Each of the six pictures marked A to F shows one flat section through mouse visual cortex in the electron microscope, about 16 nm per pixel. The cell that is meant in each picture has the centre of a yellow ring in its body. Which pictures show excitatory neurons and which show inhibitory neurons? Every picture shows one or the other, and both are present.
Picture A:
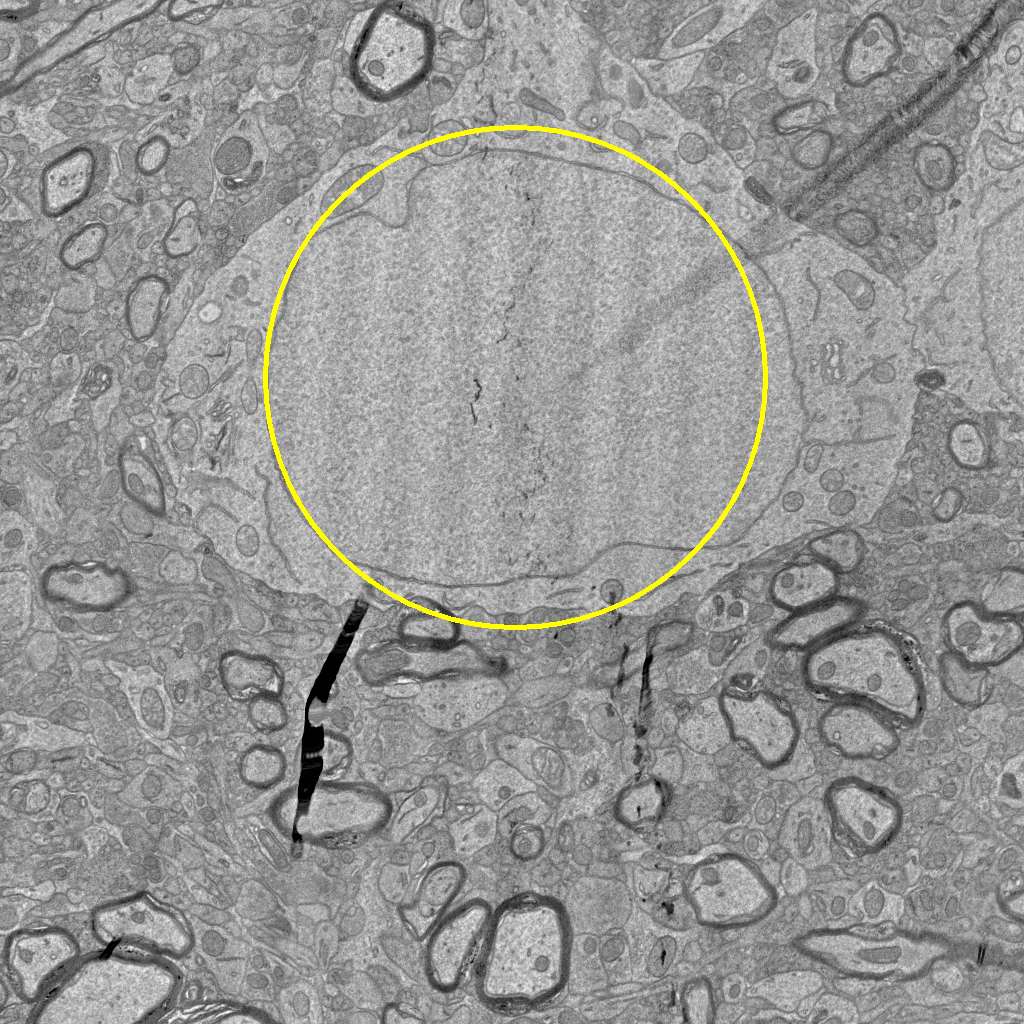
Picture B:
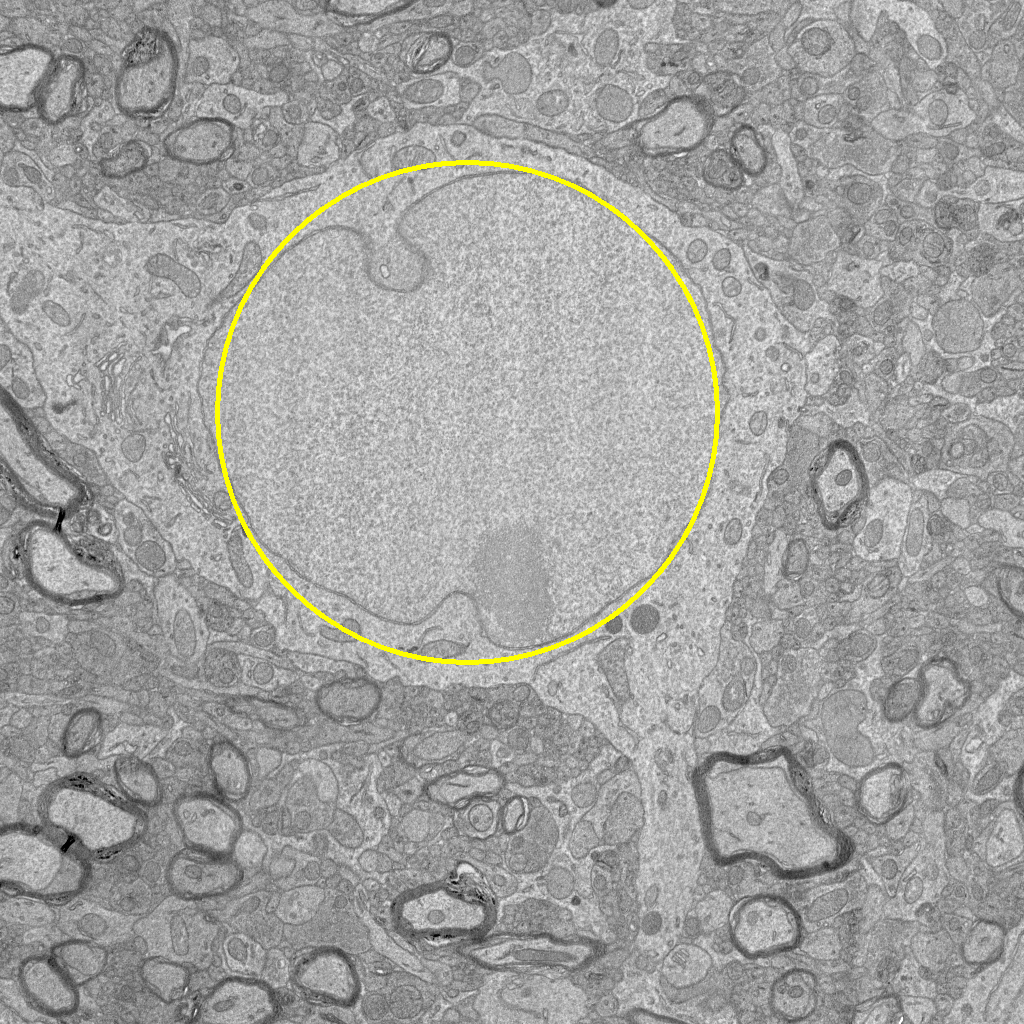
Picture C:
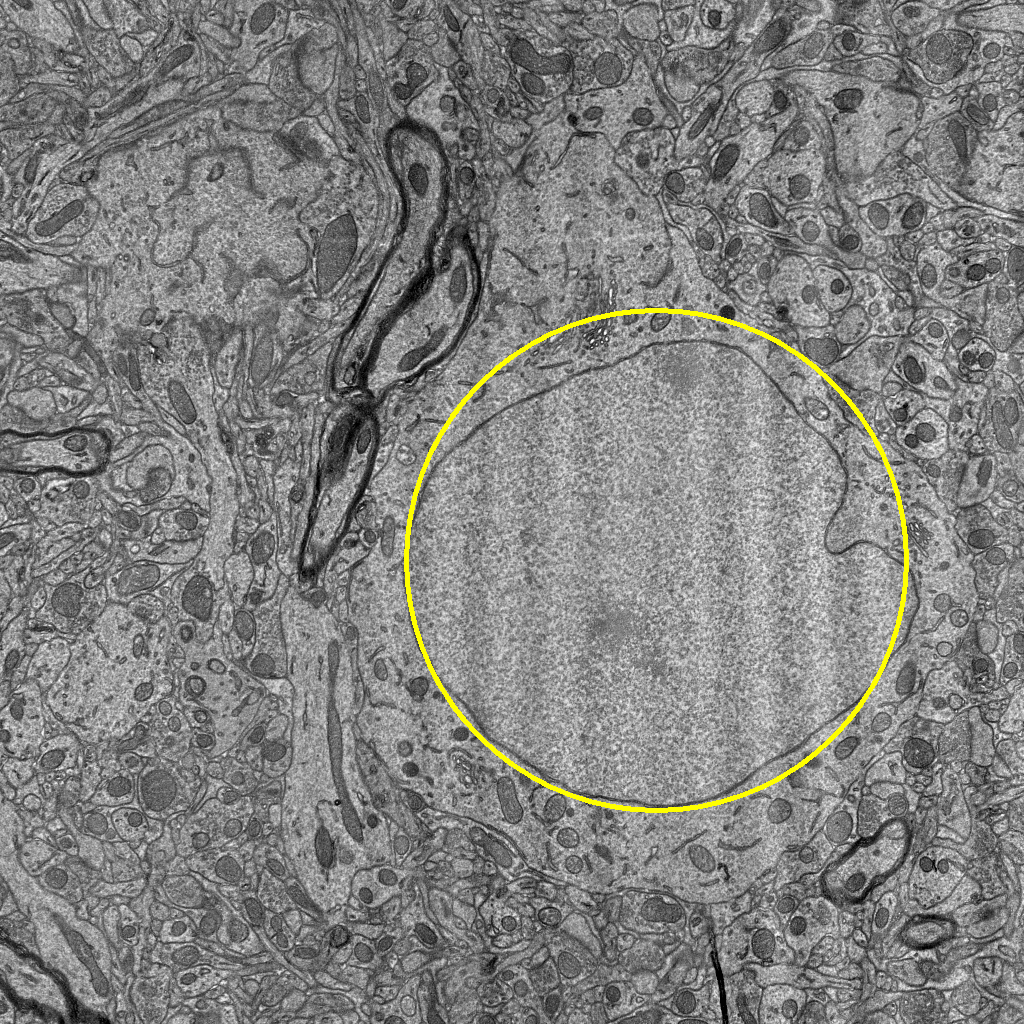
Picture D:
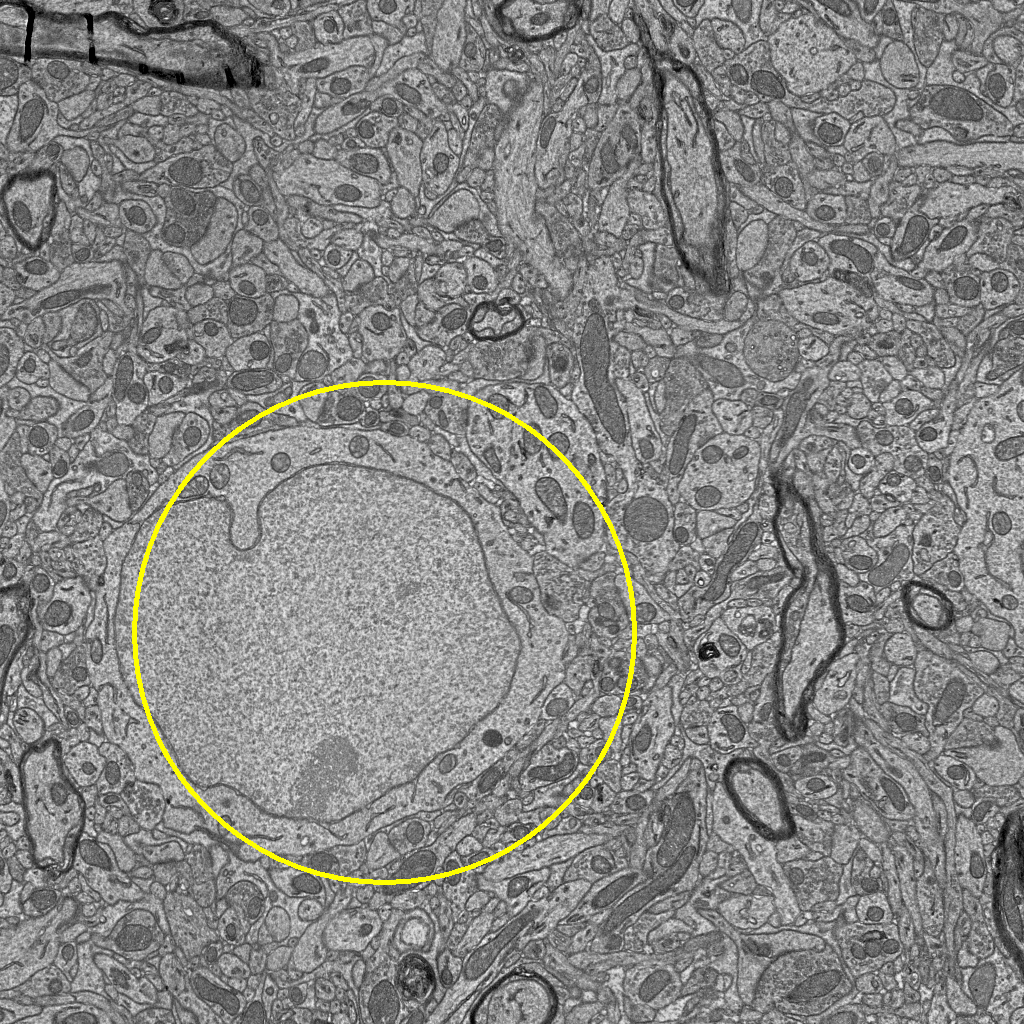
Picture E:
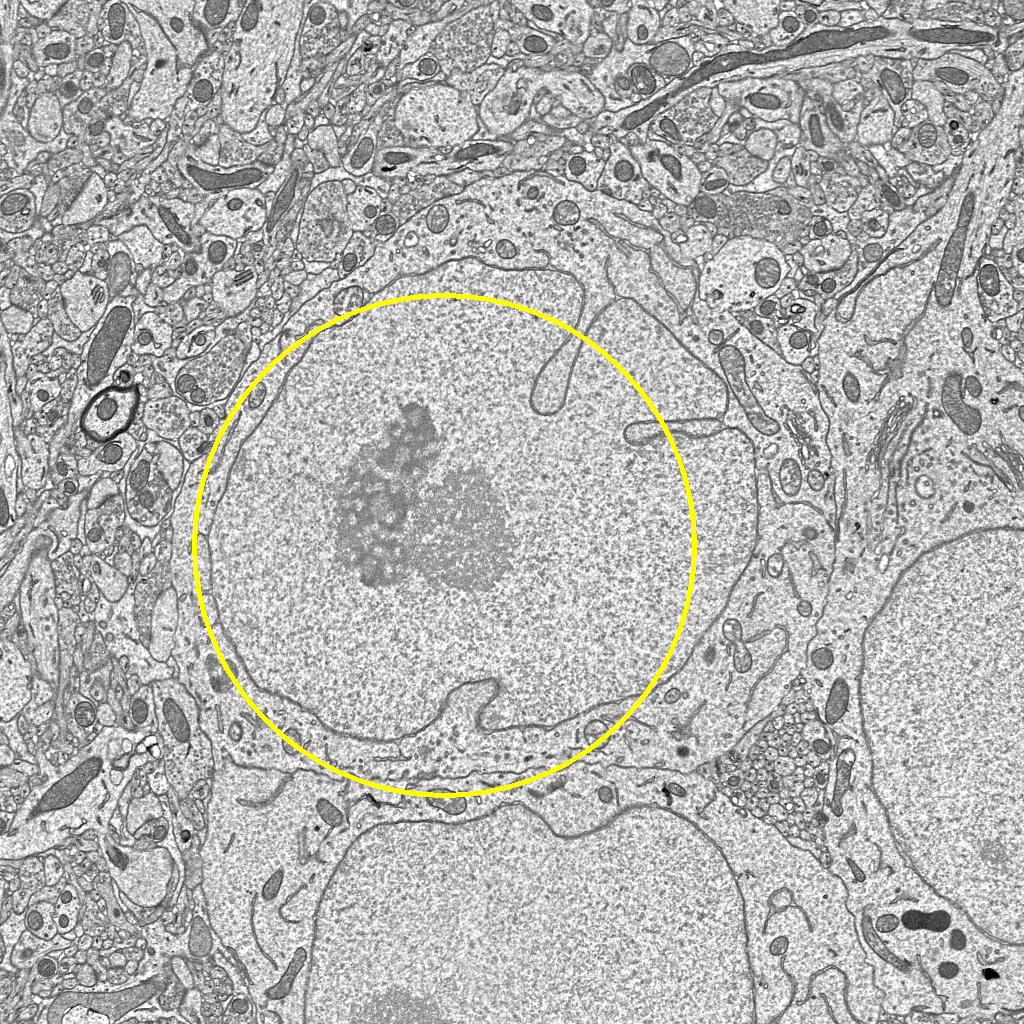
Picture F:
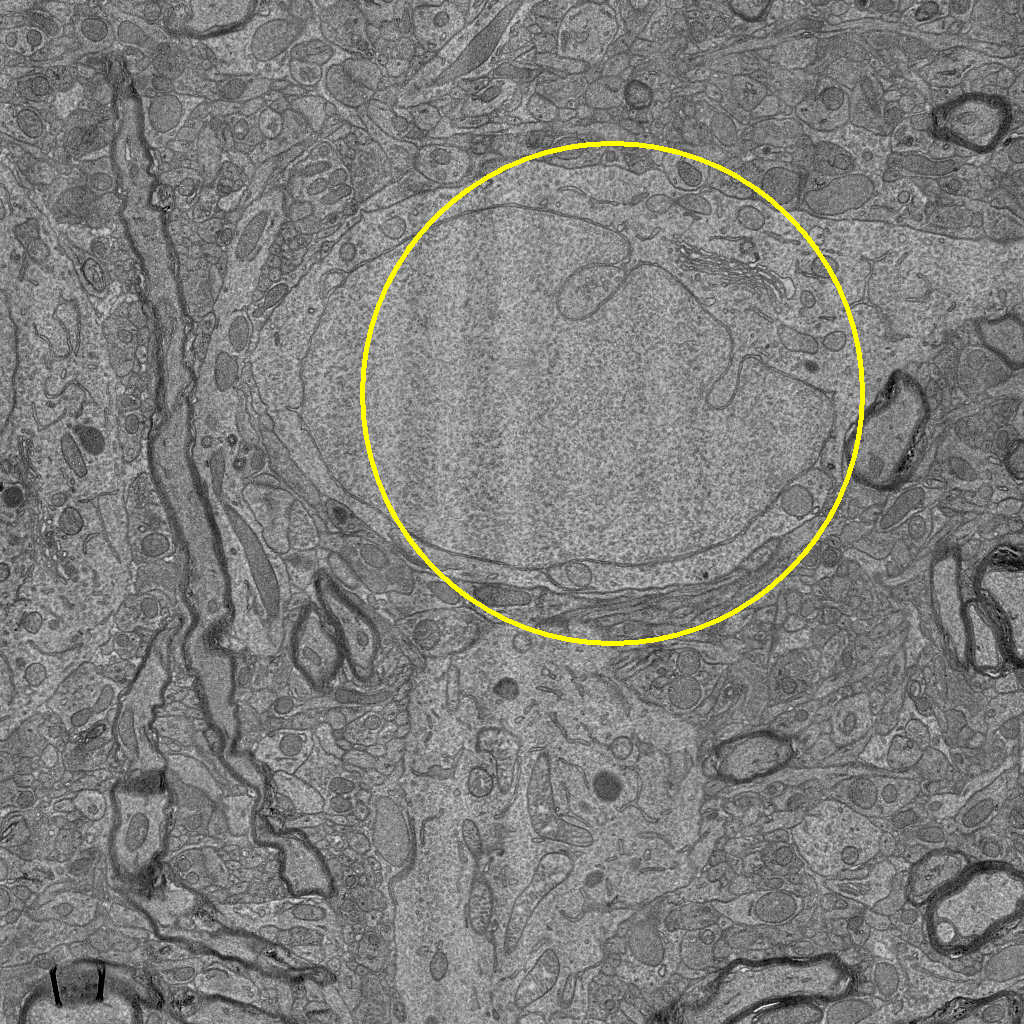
Pictures A, B, C and D show excitatory neurons; pictures E and F show inhibitory neurons.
